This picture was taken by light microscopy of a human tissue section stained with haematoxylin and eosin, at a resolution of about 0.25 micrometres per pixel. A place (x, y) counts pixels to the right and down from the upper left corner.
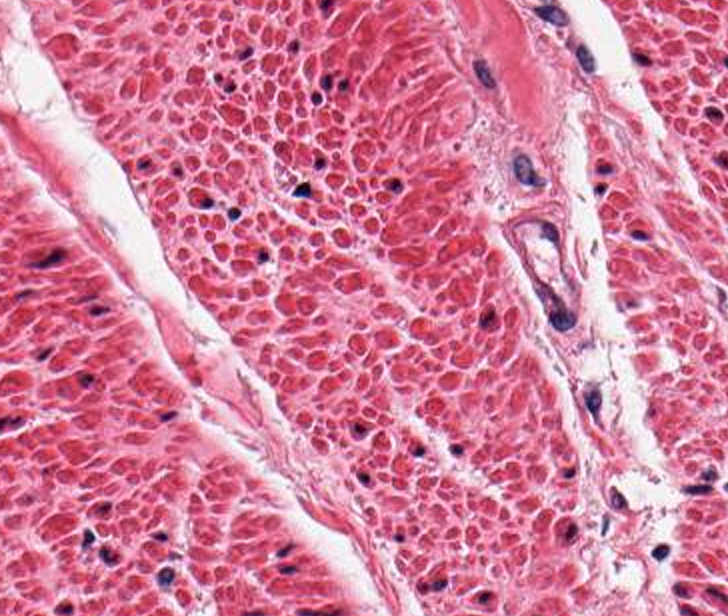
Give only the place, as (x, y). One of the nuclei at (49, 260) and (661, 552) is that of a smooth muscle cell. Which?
(49, 260)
